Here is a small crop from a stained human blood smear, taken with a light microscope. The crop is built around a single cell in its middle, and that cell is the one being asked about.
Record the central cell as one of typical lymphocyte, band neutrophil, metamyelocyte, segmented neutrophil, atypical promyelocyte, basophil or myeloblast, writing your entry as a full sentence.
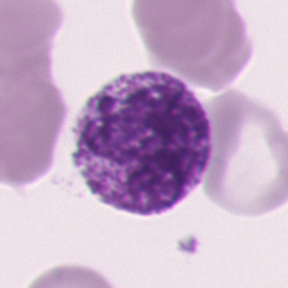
Positioned in the middle of the crop is a basophil.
